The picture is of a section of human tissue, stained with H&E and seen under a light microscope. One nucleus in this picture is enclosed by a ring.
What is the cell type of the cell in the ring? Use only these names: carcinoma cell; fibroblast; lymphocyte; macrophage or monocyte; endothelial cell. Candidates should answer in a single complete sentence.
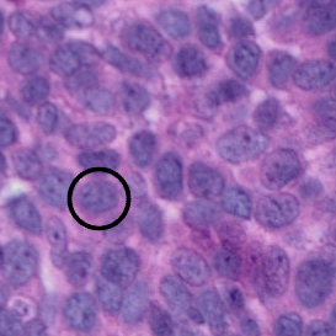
As a matter of cell type, the cell in the ring is a carcinoma cell.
